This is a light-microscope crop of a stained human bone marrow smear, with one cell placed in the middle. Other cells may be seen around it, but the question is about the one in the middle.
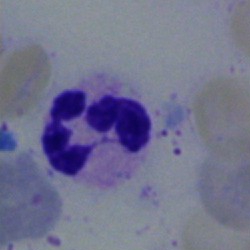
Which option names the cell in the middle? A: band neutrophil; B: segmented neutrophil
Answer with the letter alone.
B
